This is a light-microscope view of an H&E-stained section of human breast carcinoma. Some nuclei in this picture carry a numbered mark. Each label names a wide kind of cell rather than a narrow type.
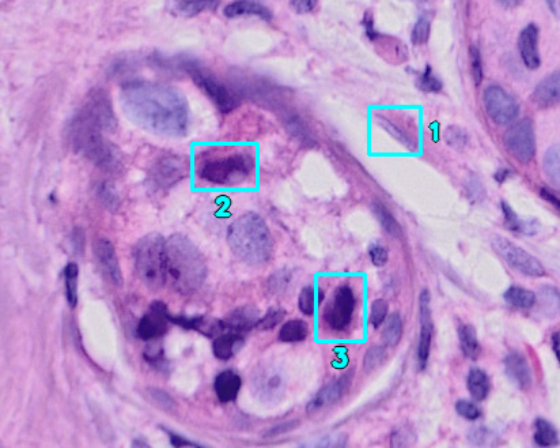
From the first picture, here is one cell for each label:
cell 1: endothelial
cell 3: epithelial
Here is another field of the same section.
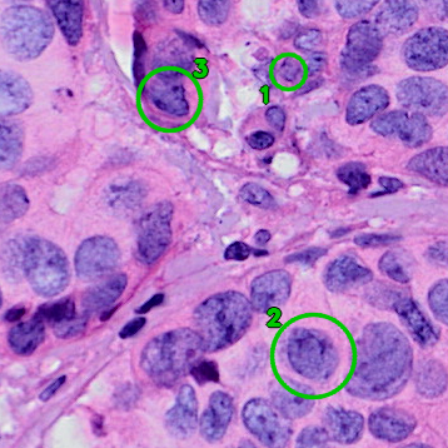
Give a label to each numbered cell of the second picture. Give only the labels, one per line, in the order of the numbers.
endothelial
epithelial
epithelial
